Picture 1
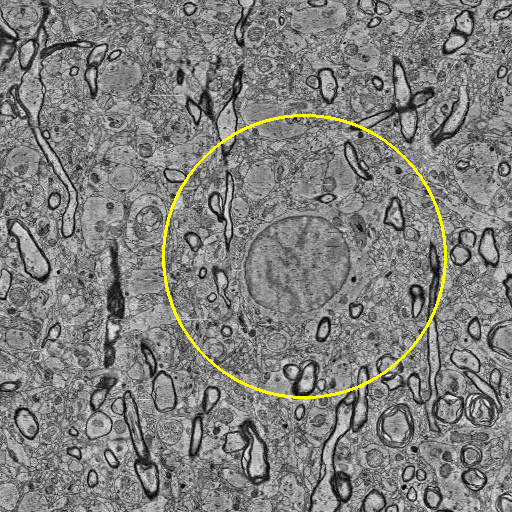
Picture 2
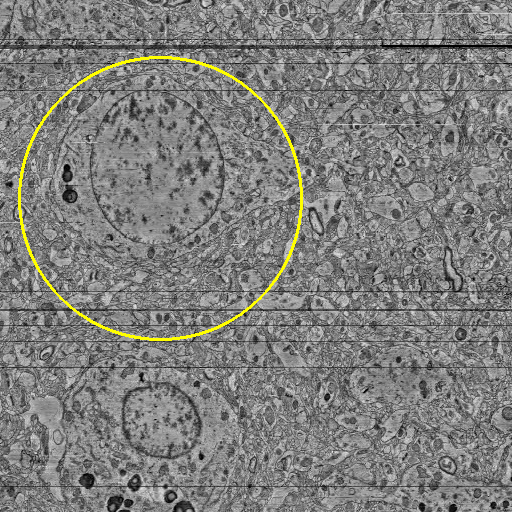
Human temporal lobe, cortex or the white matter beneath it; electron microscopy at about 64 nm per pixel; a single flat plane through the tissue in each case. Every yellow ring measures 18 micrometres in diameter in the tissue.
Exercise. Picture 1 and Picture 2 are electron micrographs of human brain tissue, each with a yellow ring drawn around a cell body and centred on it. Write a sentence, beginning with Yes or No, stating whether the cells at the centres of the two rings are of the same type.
No, the cells at the centres of the rings are of two types.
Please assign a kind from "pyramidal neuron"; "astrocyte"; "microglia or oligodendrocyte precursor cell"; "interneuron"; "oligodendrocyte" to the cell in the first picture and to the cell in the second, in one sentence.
In the first picture we have an oligodendrocyte, and in the second, a pyramidal neuron.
